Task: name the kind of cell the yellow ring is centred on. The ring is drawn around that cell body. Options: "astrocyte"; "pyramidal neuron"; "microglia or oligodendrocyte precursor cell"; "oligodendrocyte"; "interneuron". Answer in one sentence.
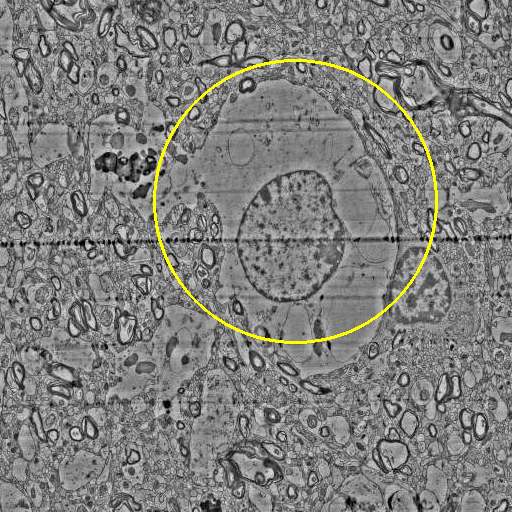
This cell body belongs to an astrocyte.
